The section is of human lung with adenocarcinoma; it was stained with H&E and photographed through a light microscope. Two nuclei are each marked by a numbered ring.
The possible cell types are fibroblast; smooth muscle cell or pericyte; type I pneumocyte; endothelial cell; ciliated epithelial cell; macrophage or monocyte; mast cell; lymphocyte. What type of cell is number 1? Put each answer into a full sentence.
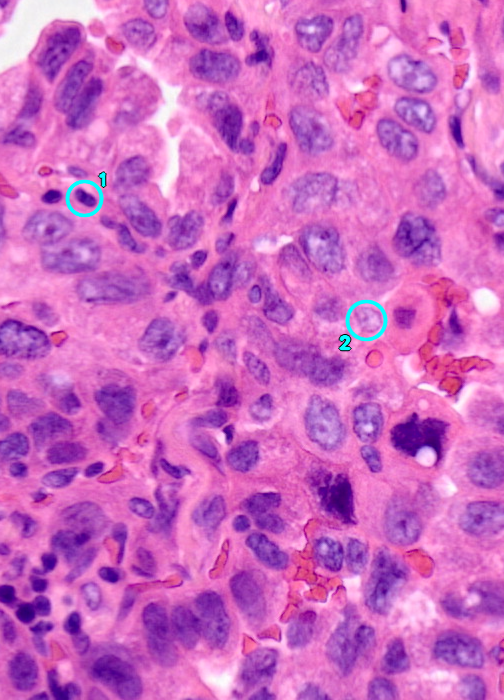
In the marked set, the cell given number 1 is a lymphocyte.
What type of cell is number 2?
Heads up, the cell numbered 2 is a macrophage or monocyte.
